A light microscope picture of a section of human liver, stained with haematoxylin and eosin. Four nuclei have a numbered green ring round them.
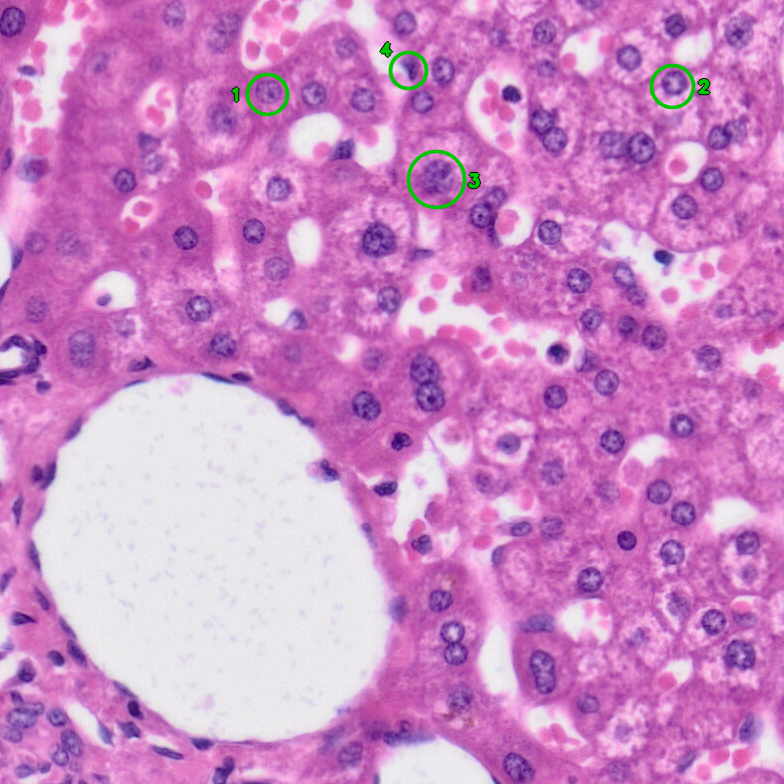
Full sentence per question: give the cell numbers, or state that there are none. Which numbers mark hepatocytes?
The cells with the number labels 1, 2 and 3 are hepatocytes.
